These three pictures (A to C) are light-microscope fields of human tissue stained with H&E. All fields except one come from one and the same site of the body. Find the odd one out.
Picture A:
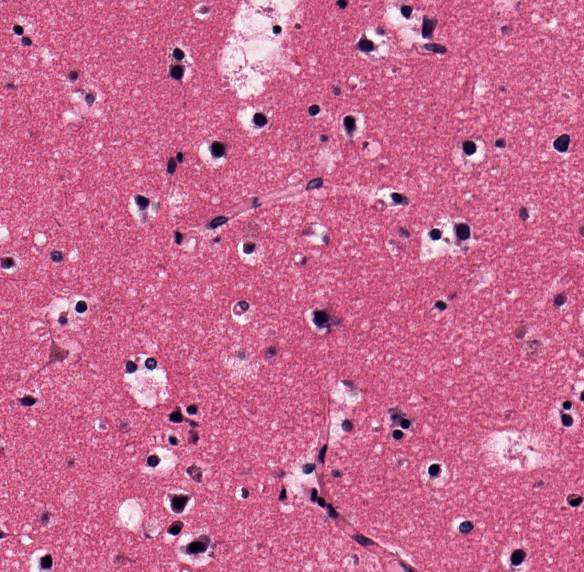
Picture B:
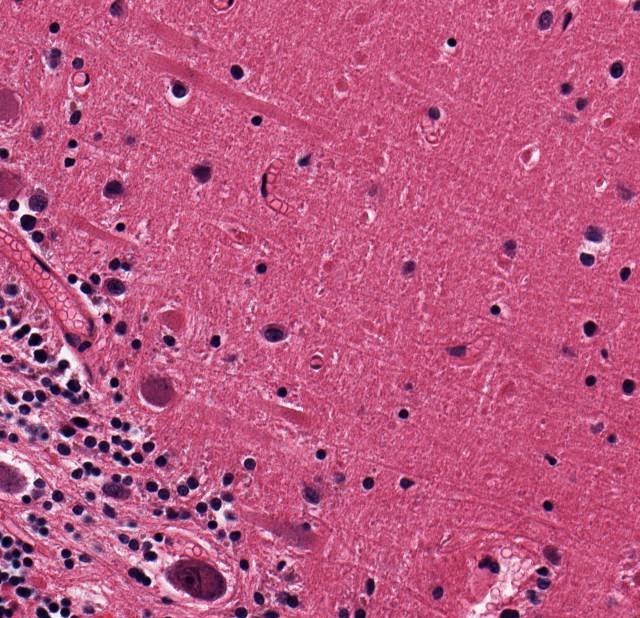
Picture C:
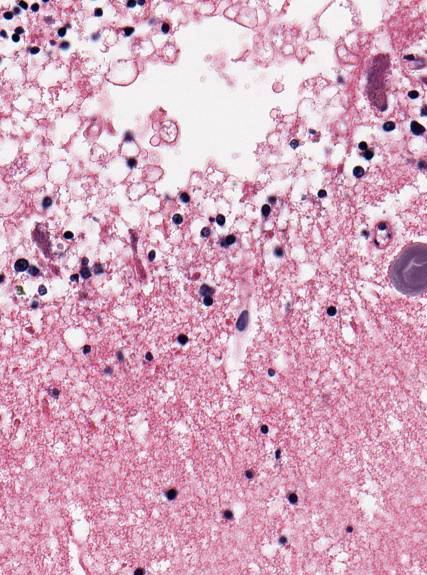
A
